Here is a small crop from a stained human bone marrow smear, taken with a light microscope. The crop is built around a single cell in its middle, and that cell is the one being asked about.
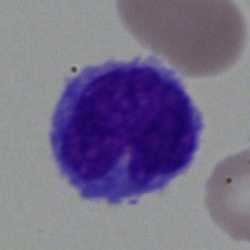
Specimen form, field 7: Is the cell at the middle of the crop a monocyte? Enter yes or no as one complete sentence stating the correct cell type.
Yes, this central cell is a monocyte.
